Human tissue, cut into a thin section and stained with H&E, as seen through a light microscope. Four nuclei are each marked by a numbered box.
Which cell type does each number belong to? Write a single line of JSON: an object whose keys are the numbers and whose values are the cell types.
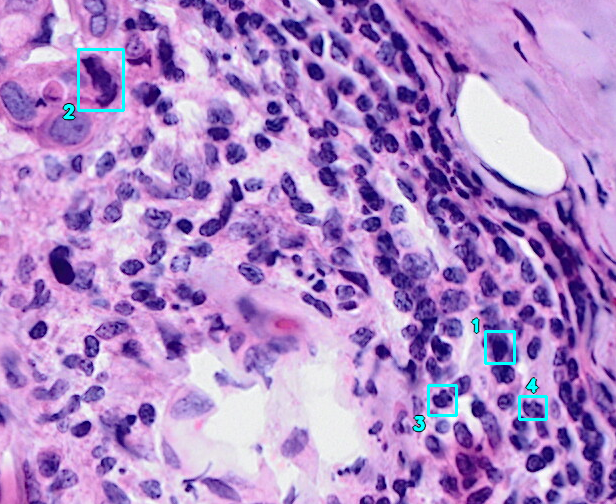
{"1": "lymphocyte", "2": "carcinoma cell", "3": "lymphocyte", "4": "lymphocyte"}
